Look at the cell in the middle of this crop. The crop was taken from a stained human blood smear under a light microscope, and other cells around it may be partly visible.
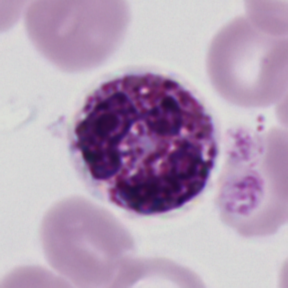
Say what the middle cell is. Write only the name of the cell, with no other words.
eosinophil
